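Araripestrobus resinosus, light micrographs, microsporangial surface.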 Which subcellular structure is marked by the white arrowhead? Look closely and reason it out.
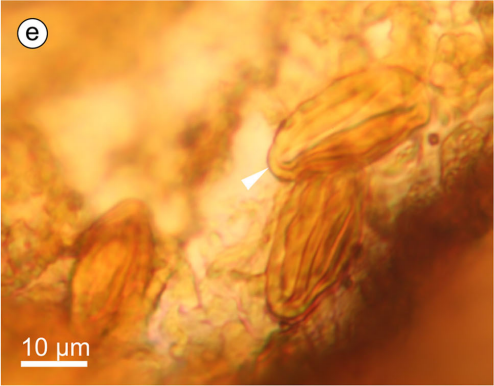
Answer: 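Sulci. The arrowhead points to the rounded end of a furrow on an oval amber-brown grain. Lengthwise lines run along the grain.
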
